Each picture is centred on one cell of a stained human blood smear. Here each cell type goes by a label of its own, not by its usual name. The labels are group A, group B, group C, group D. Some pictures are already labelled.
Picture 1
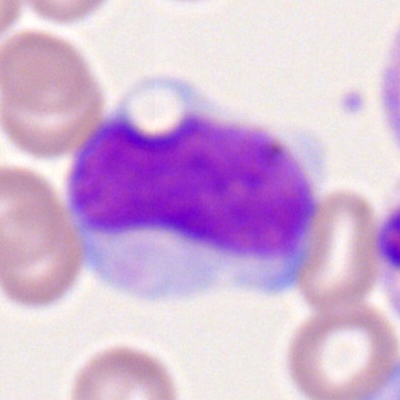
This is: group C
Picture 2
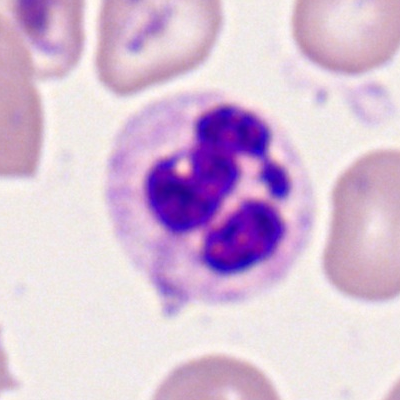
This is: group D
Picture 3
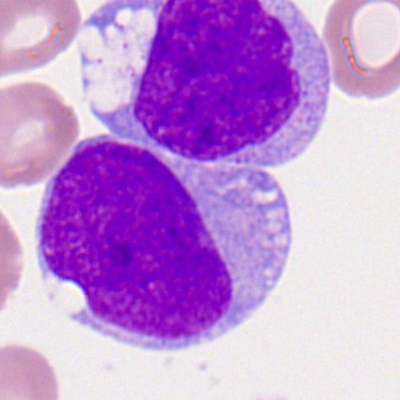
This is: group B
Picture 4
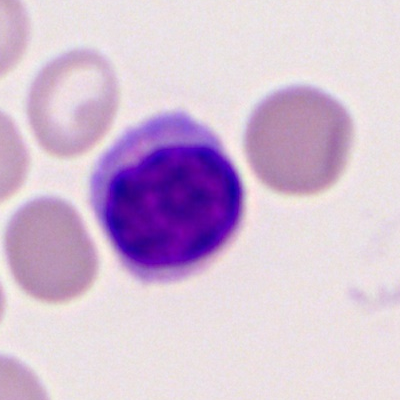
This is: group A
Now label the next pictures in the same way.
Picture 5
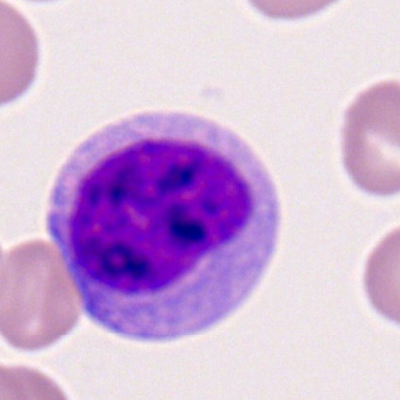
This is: group C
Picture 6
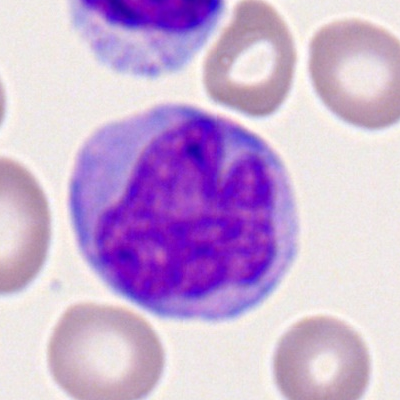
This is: group C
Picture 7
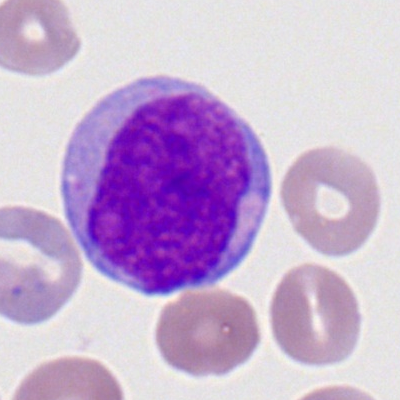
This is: group B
